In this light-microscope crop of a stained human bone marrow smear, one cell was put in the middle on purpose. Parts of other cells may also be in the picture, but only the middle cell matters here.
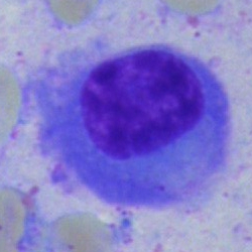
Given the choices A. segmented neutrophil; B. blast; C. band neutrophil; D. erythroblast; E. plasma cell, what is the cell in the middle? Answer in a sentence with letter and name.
The cell at the heart of the crop is a plasma cell, so choose option E.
